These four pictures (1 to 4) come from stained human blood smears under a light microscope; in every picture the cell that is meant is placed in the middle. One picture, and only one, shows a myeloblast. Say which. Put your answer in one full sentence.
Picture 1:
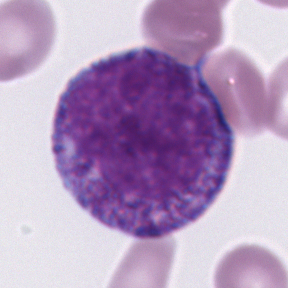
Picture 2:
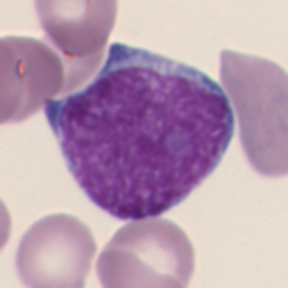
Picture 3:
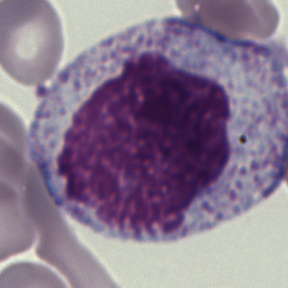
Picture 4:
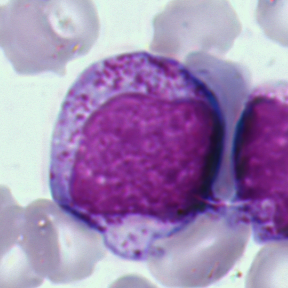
The picture with the myeloblast is 2.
